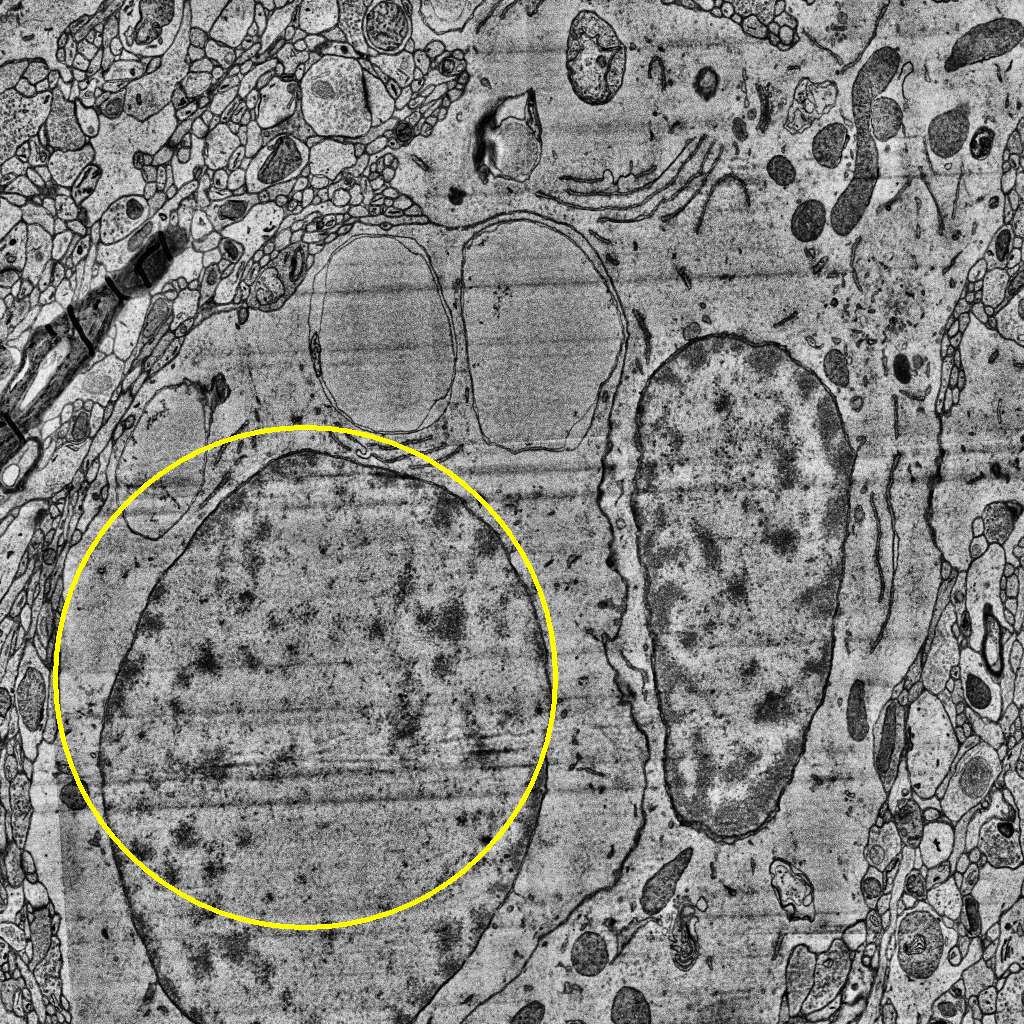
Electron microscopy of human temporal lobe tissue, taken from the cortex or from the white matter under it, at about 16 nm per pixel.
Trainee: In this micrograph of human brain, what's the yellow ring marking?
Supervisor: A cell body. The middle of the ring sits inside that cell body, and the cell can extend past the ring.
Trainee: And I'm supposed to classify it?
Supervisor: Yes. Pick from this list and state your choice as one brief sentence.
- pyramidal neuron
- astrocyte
The cell at the ring's center is an astrocyte.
